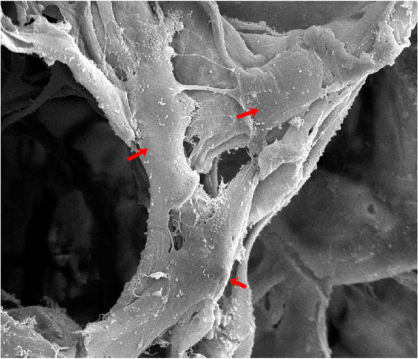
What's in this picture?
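The cells are flattened and spread out as thin sheets over the wall surfaces. Their surfaces are slightly rough and carry scattered small granules. Some cells stretch across the edges of the wall struts, and fine processes reach out toward neighbouring surfaces. The scaffold walls are smooth, curved membranes that enclose dark, open pores of different sizes. Fainter walls of the sponge can be seen deeper in the background. The cells follow the contours of the walls closely, so their outlines are hard to separate from the scaffold.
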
